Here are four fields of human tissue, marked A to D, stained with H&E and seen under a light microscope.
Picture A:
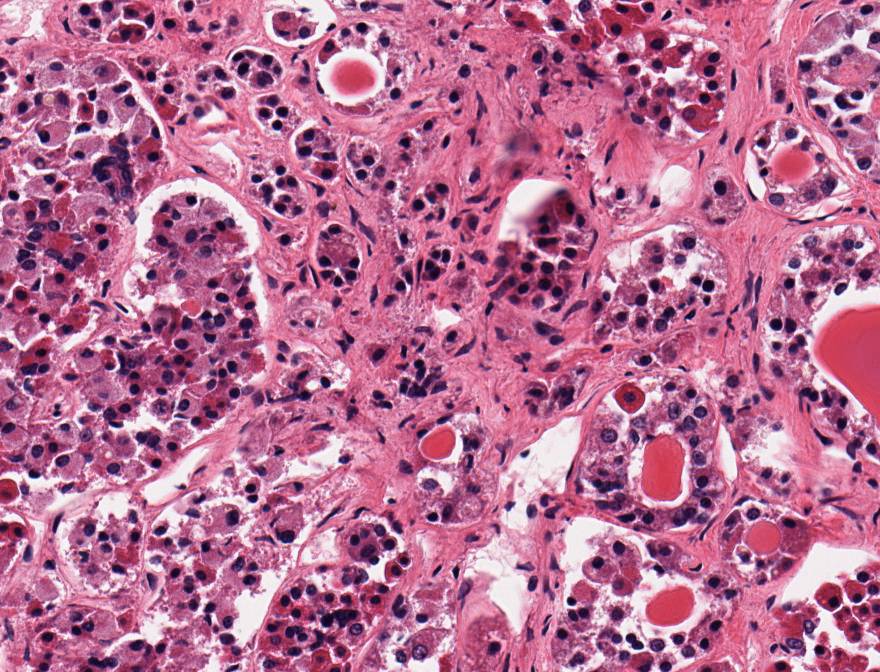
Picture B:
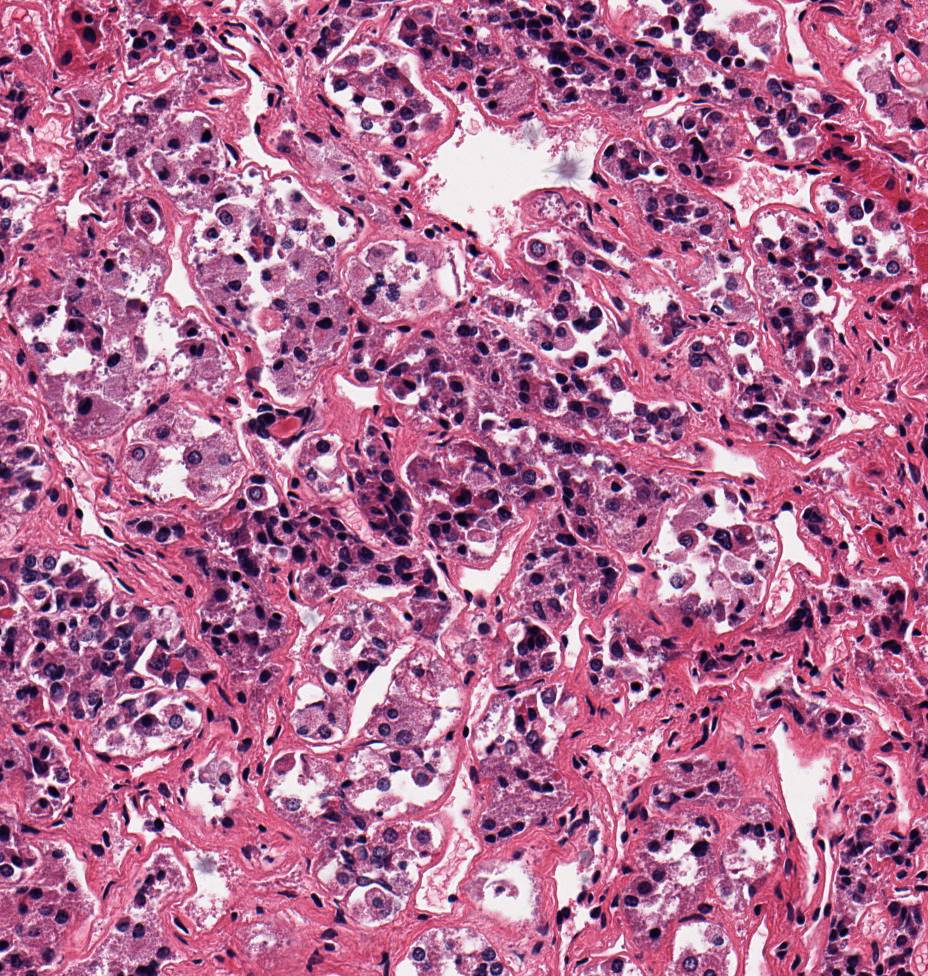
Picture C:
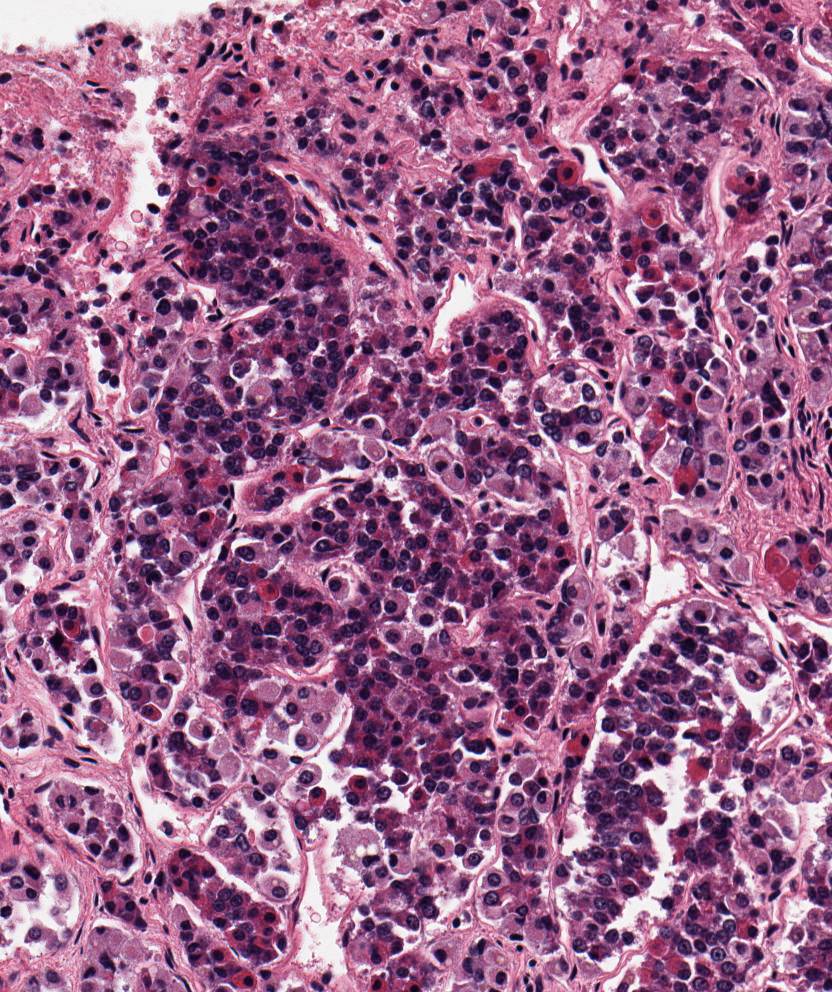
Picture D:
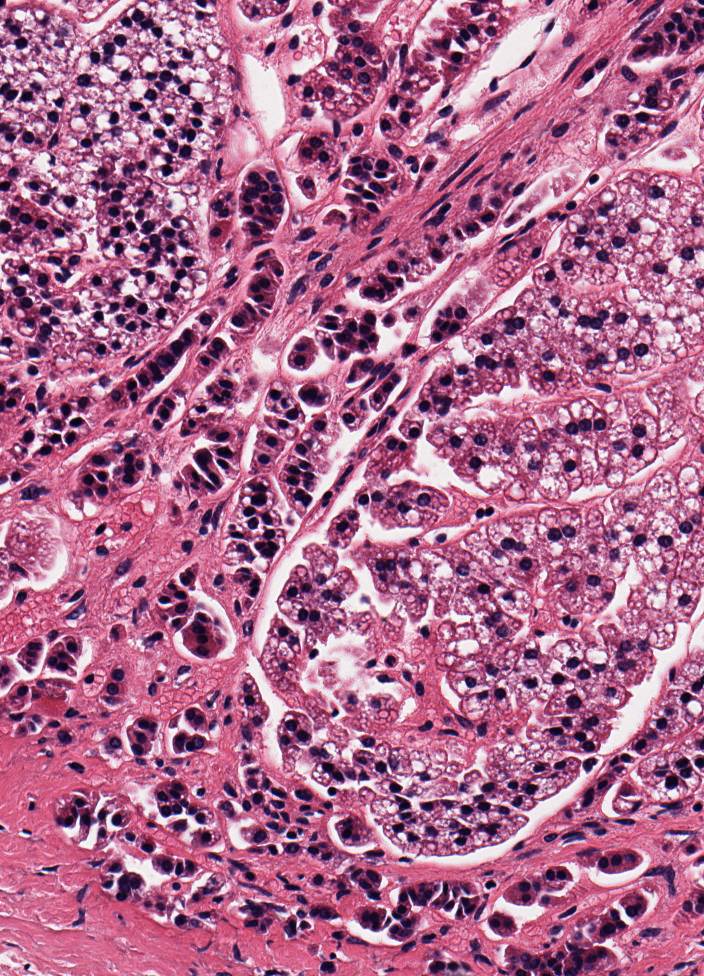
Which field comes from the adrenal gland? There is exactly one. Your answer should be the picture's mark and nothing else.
D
